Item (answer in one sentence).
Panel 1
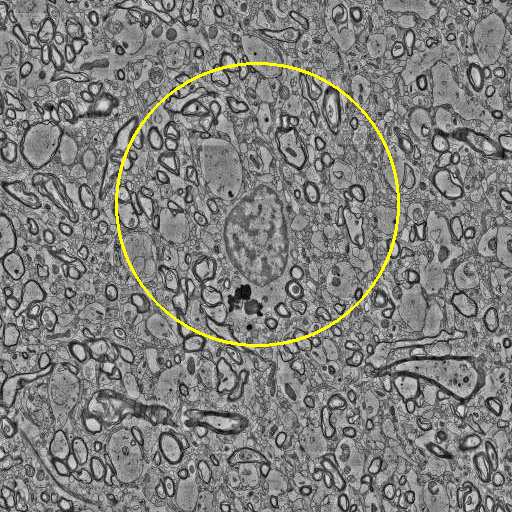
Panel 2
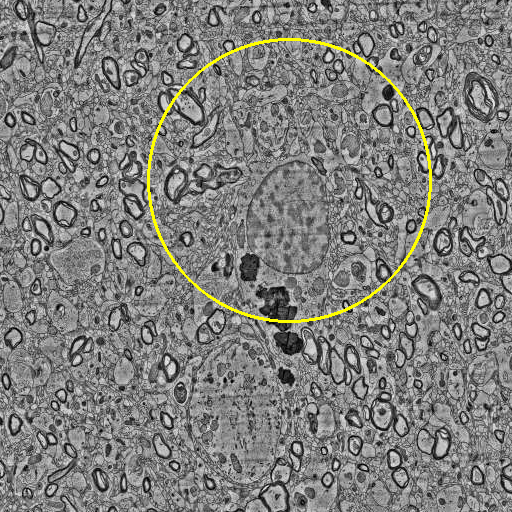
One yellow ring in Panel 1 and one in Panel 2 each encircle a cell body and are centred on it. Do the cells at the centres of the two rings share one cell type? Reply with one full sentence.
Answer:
Yes, Panel 1 and Panel 2 show cells of one type at the centres of their rings.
